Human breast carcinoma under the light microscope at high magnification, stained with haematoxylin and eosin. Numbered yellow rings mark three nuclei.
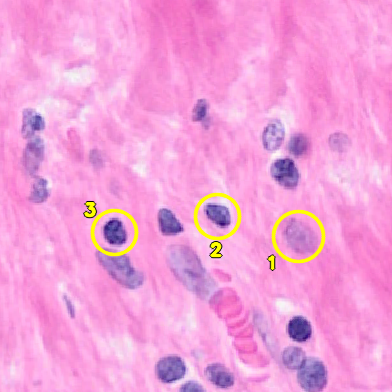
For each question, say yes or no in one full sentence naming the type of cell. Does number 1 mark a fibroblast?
Yes, the cell with the number 1 is a fibroblast.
